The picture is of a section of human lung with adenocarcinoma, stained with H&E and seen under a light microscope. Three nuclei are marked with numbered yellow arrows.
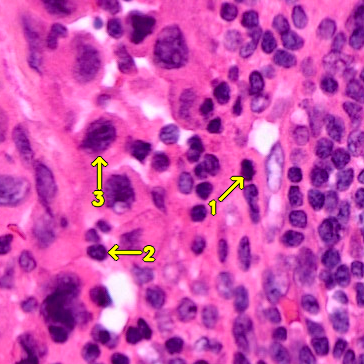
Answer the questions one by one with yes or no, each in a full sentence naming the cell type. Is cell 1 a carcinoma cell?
No, number 1 is assigned to a lymphocyte, not to a carcinoma cell.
